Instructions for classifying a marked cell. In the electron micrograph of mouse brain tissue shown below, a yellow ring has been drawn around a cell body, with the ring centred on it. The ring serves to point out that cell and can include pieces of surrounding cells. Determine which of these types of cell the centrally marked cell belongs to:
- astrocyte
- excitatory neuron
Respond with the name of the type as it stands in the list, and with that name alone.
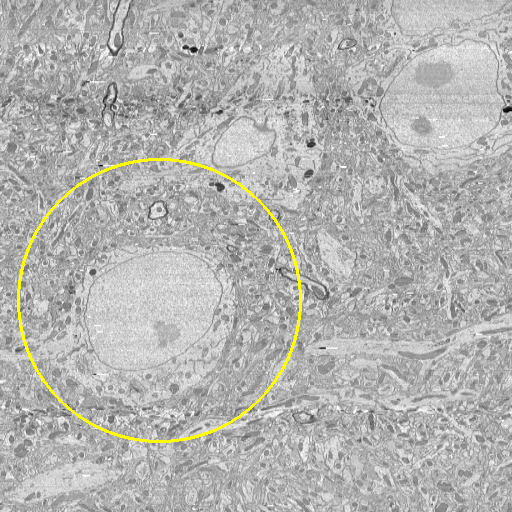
excitatory neuron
